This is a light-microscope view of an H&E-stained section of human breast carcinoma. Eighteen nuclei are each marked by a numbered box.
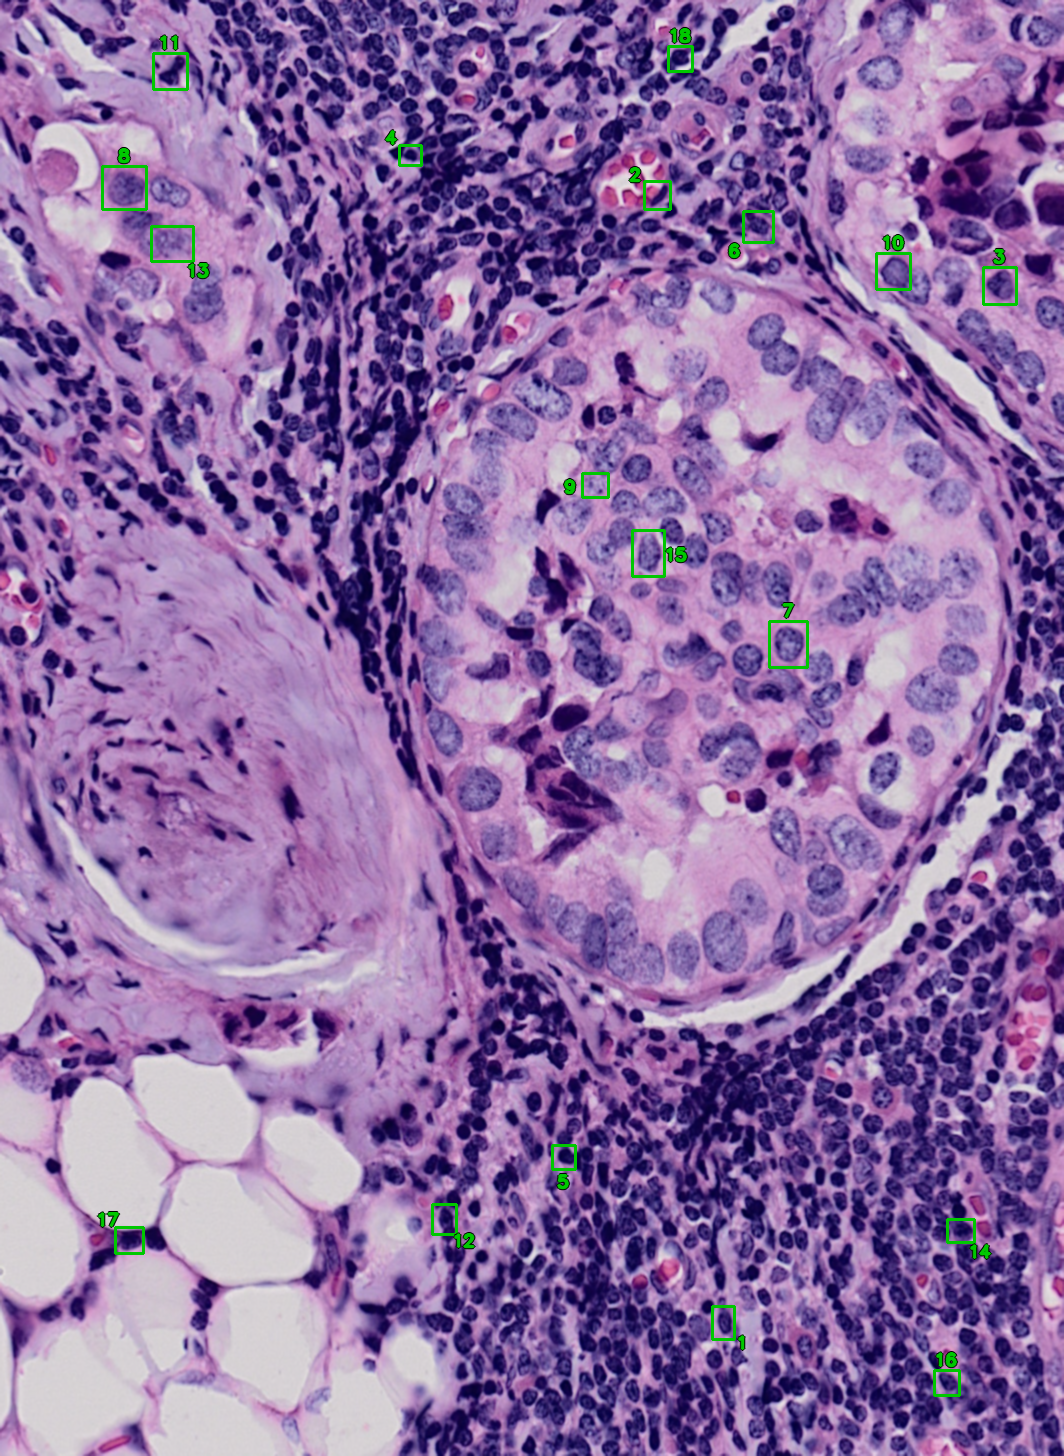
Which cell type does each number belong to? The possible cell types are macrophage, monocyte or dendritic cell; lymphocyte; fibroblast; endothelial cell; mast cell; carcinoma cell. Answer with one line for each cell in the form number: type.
1: lymphocyte
2: endothelial cell
3: carcinoma cell
4: lymphocyte
5: lymphocyte
6: lymphocyte
7: carcinoma cell
8: carcinoma cell
9: carcinoma cell
10: carcinoma cell
11: lymphocyte
12: lymphocyte
13: carcinoma cell
14: lymphocyte
15: carcinoma cell
16: lymphocyte
17: lymphocyte
18: lymphocyte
